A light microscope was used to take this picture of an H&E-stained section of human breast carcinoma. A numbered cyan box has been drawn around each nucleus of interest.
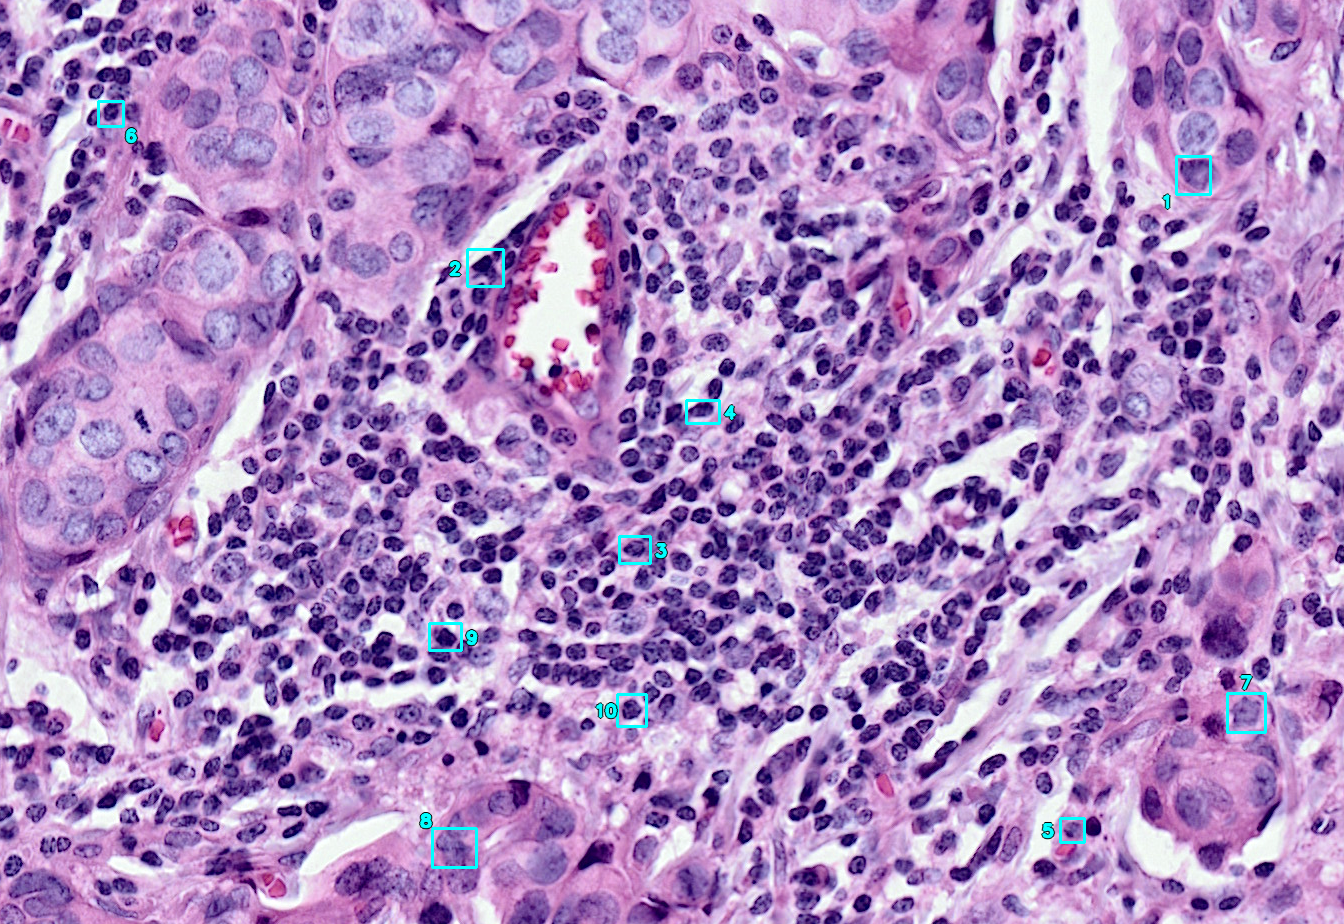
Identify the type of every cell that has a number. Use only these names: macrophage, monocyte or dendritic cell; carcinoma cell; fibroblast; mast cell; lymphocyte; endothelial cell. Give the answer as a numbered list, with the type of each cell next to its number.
1. carcinoma cell
2. lymphocyte
3. lymphocyte
4. lymphocyte
5. endothelial cell
6. lymphocyte
7. carcinoma cell
8. carcinoma cell
9. lymphocyte
10. lymphocyte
